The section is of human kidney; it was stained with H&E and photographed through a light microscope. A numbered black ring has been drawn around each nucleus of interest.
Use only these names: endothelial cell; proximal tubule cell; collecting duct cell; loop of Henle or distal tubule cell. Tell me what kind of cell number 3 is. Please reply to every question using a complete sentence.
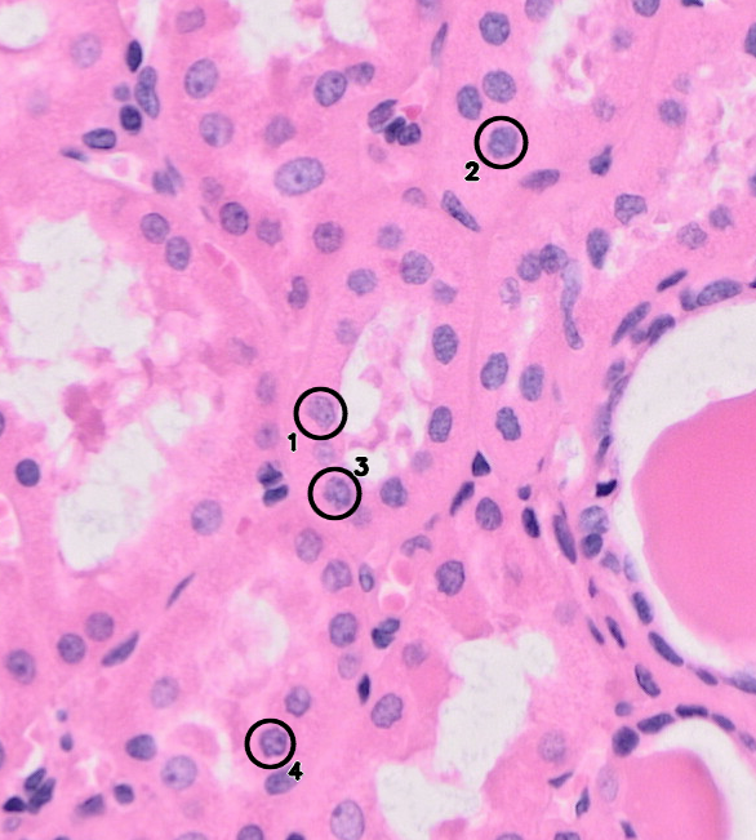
The nucleus labelled 3 belongs to a loop of Henle or distal tubule cell.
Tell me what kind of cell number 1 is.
Among the marked nuclei, number 1 belongs to a loop of Henle or distal tubule cell.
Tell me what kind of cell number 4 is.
The cell assigned the number 4 is a proximal tubule cell.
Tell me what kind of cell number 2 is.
The cell that carries the label 2 is a loop of Henle or distal tubule cell.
